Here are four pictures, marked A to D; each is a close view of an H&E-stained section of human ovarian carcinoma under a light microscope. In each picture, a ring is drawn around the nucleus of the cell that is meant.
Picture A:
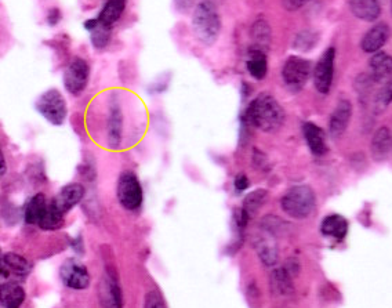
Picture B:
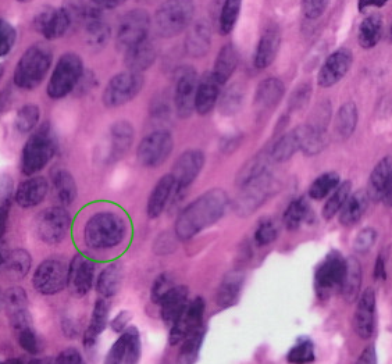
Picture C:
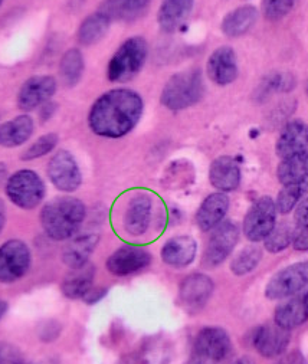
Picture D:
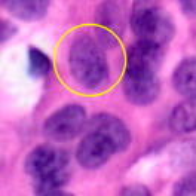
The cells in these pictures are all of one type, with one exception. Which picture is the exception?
A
